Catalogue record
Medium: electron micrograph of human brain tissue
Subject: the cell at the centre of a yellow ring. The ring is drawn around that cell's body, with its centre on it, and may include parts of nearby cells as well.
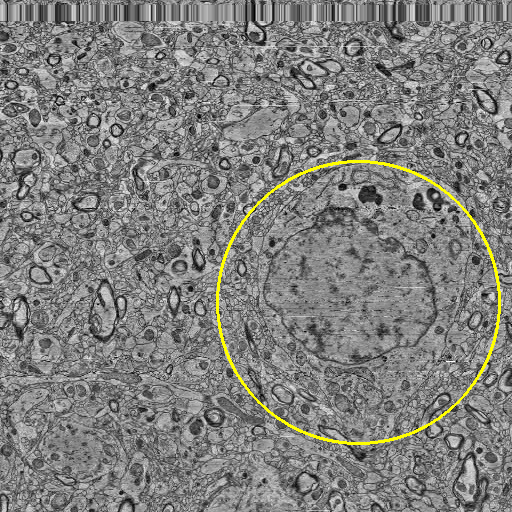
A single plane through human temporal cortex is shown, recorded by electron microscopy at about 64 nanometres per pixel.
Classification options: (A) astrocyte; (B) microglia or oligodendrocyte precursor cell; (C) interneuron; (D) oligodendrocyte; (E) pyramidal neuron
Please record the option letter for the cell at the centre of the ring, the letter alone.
E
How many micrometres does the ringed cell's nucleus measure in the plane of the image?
Approximately 10 micrometres across, in this plane.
